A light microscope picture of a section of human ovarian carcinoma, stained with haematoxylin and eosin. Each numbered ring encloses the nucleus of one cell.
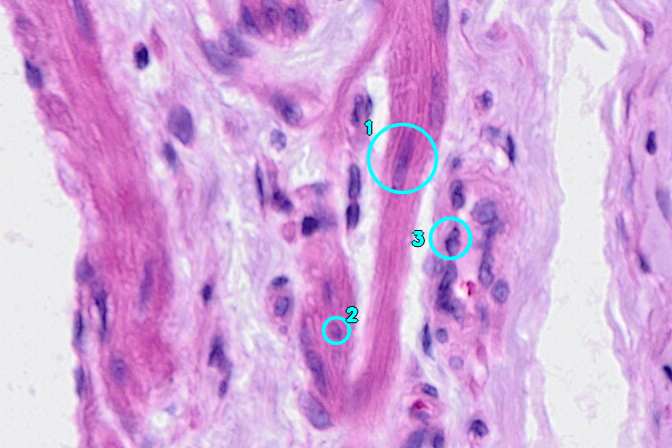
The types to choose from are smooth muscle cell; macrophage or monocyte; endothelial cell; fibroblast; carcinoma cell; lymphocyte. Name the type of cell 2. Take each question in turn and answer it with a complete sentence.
Belonging to a smooth muscle cell is the nucleus that carries the number 2.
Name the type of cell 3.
Cell 3 in the field of view is an endothelial cell.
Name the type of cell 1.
The cell assigned the number 1 is a smooth muscle cell.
